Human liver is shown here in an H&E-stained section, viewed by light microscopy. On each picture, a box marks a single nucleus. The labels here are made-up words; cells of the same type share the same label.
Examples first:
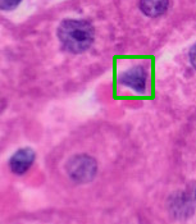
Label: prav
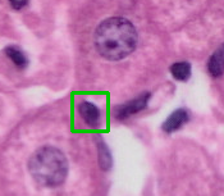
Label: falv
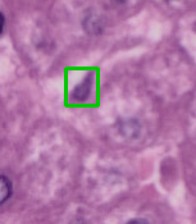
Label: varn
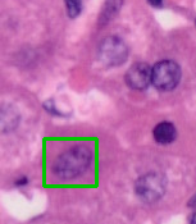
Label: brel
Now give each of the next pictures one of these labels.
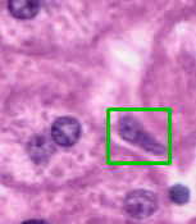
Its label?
varn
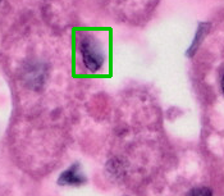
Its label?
prav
